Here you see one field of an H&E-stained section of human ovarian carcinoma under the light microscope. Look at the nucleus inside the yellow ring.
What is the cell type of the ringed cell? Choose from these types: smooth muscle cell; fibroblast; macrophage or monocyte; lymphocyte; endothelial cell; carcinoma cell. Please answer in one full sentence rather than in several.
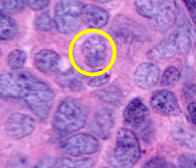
Within this tissue, the ringed cell is a carcinoma cell.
